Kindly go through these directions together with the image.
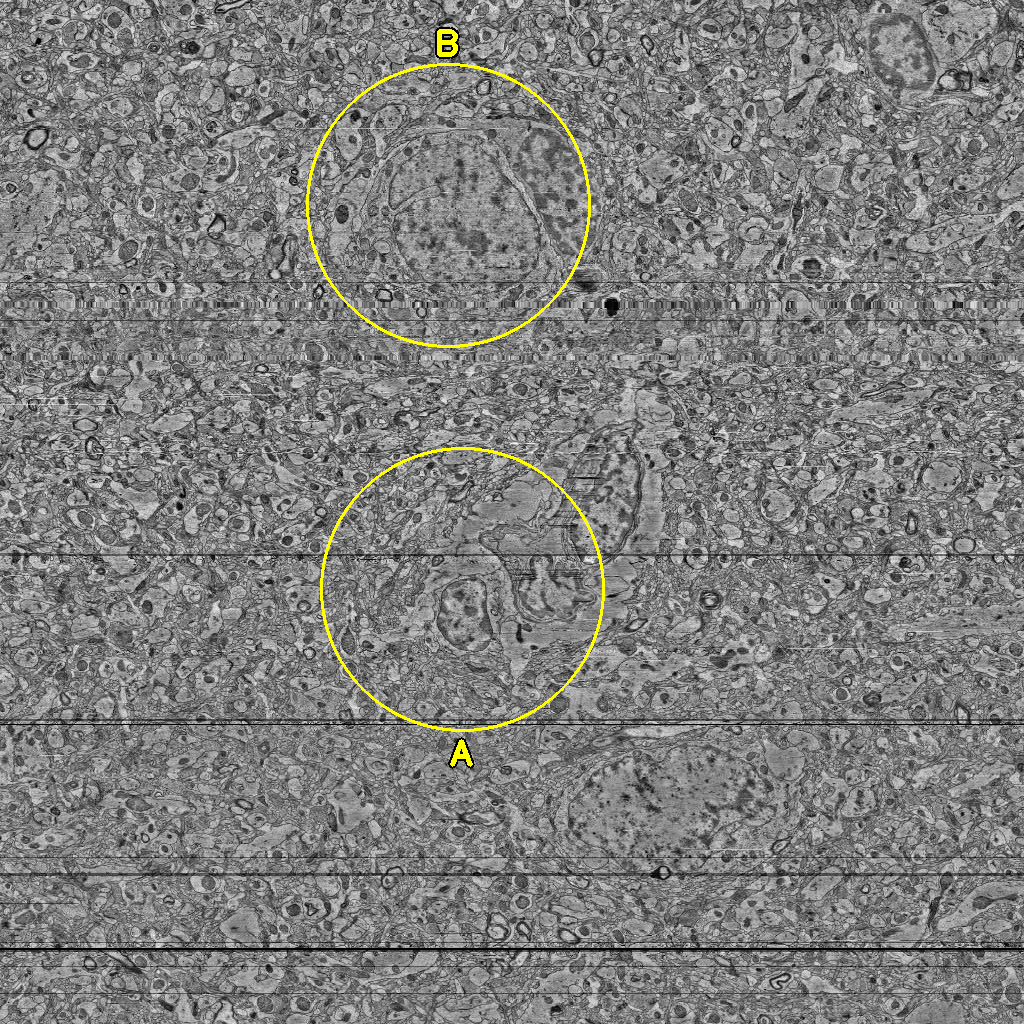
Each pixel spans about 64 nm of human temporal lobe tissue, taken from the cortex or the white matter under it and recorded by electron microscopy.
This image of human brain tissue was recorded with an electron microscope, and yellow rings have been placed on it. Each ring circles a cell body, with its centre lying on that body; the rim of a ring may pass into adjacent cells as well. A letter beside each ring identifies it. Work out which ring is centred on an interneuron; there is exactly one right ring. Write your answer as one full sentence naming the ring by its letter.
Ring B is the one whose centre lies on a cell of that kind.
